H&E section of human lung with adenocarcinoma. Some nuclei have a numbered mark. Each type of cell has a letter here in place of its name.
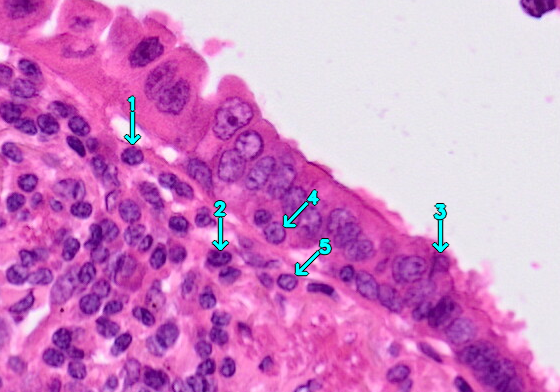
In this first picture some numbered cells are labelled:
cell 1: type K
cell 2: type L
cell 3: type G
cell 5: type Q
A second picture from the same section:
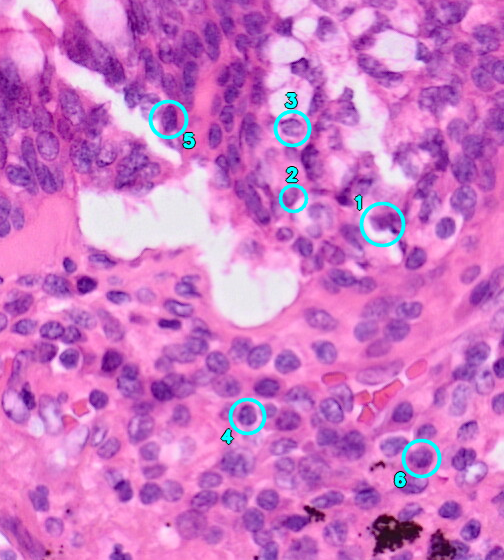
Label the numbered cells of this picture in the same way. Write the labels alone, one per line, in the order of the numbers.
type G
type G
type G
type K
type G
type L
